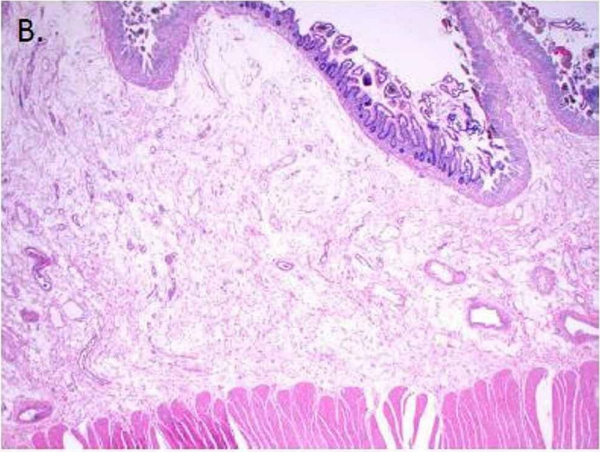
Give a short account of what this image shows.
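Wall of the small bowel at low power, with mucosa bearing slender villi along the top and smooth muscle of the muscular layer across the bottom. Between them the submucosa is greatly widened, pale and loose, with fine wispy fibers separated by clear space and scattered thick-walled vessels, a pattern of marked edema with myxoid change. The mucosal surface looks somewhat irregular, with some reddish material in the lumen near the villi.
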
